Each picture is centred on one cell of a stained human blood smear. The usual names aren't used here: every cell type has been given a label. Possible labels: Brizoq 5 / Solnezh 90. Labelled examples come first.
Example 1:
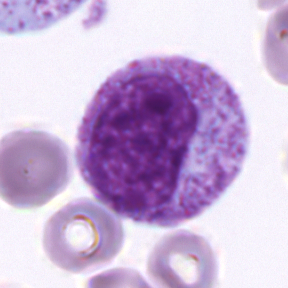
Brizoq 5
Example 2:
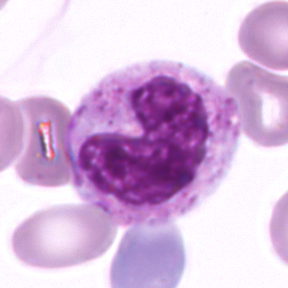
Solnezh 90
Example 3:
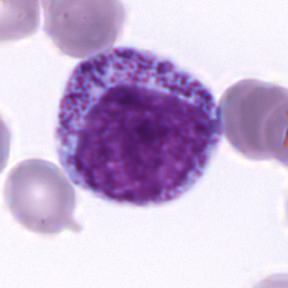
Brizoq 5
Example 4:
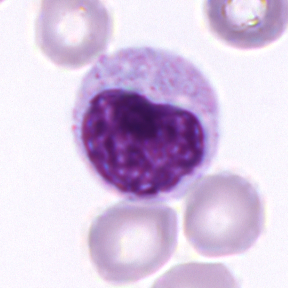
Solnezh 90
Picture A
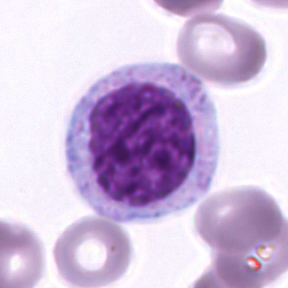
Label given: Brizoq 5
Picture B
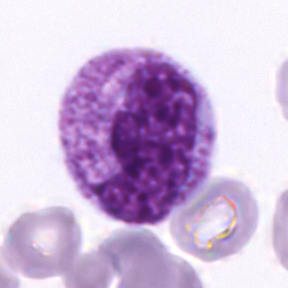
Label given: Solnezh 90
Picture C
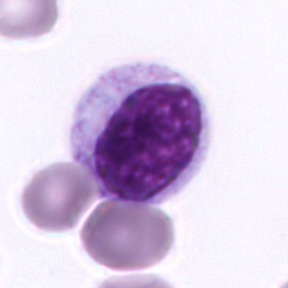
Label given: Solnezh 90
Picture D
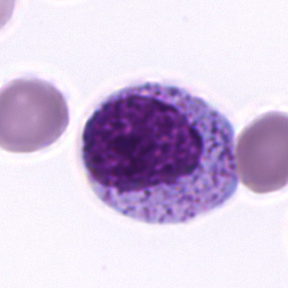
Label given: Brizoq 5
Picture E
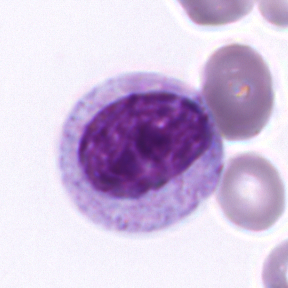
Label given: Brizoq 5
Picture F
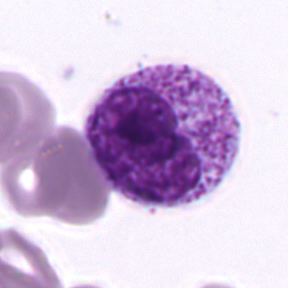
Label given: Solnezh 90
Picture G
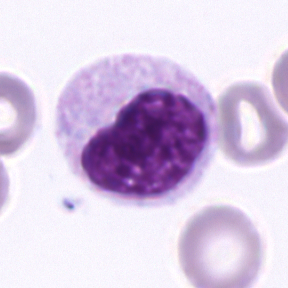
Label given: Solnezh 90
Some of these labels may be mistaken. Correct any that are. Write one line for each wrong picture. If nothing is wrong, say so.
All correct.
